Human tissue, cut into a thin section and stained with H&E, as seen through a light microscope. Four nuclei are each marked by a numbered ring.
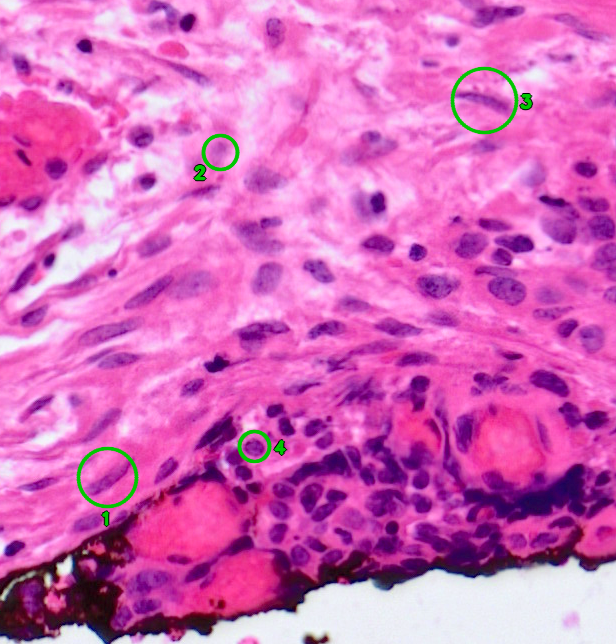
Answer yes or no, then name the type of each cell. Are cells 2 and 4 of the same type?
No: cell 2 is a fibroblast, while cell 4 is a macrophage or monocyte.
